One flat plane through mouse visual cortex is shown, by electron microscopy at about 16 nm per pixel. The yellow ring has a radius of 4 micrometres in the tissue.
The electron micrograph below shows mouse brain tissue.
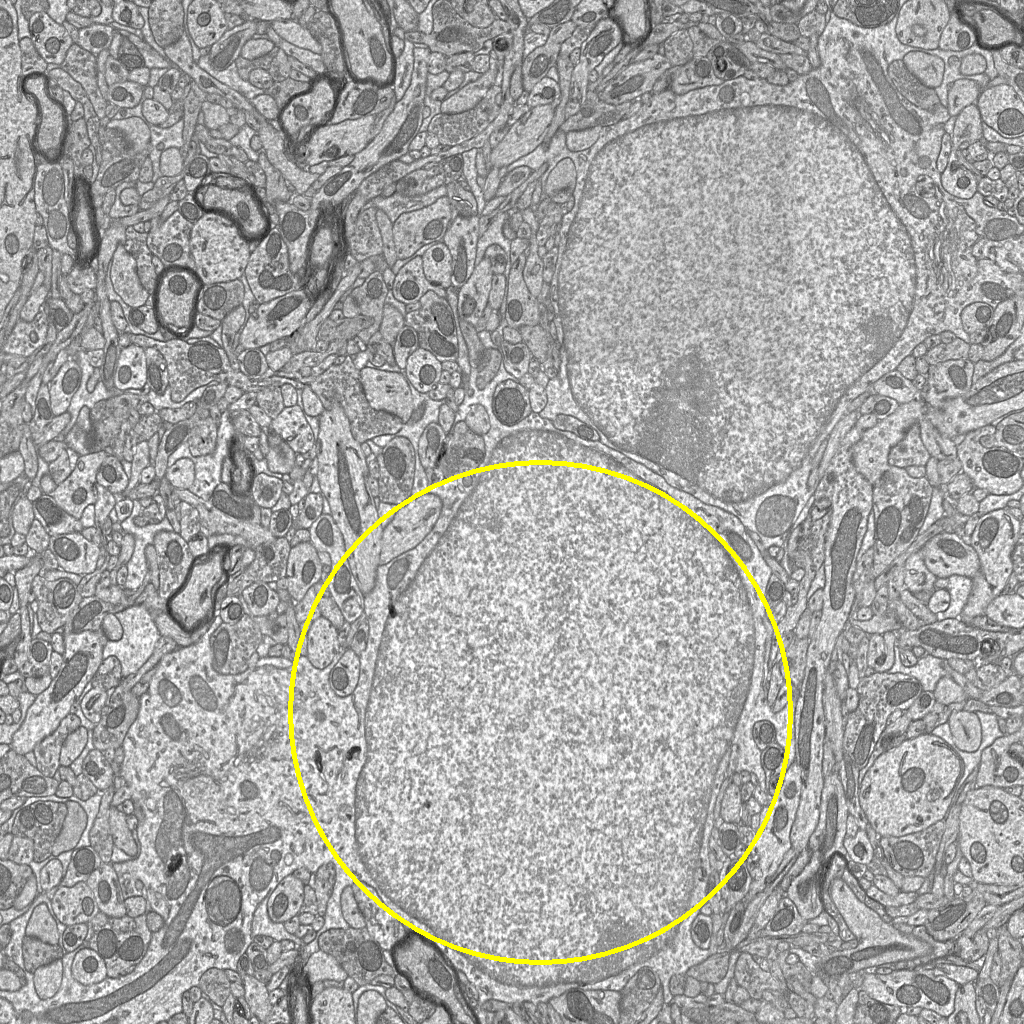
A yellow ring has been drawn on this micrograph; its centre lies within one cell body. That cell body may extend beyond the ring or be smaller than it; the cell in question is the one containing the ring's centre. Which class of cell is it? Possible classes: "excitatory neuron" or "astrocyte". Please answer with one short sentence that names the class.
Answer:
In the centre of the ring sits an astrocyte.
